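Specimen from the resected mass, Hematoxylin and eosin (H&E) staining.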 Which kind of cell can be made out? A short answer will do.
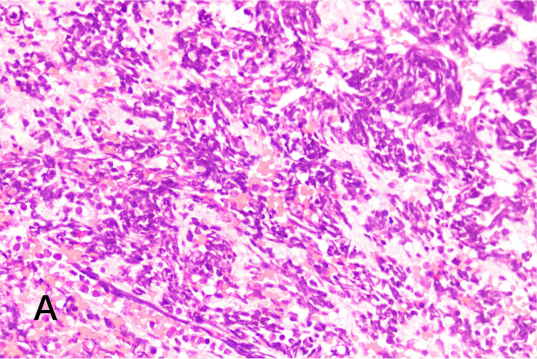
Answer: small cells with scant cytoplasm, hyperchromatic nuclei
